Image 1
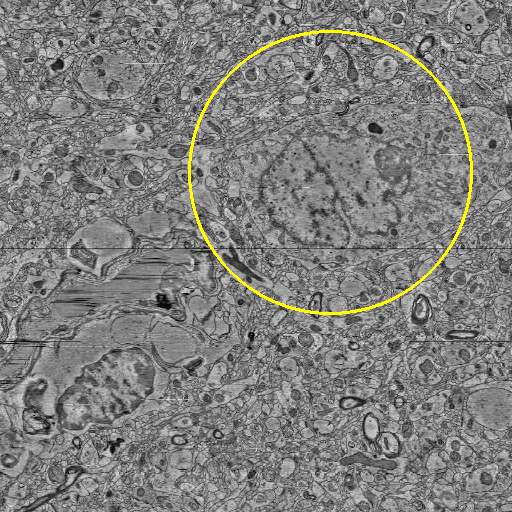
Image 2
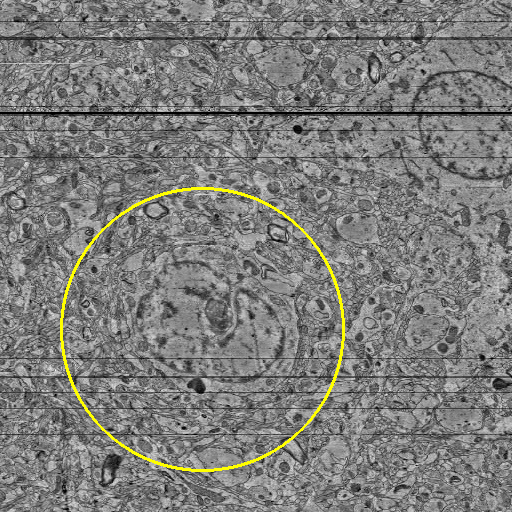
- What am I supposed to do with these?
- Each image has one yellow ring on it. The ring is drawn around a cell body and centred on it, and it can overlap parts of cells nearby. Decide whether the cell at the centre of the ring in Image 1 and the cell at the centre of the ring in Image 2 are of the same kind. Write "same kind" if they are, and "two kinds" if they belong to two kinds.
same kind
